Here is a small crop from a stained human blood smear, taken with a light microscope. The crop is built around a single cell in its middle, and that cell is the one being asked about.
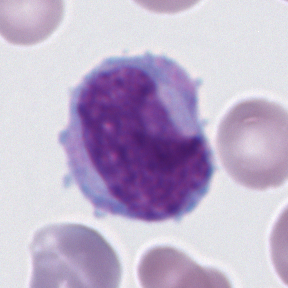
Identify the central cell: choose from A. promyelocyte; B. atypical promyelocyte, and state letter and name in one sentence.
The middle cell of the crop is an atypical promyelocyte; accordingly, option B is correct.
